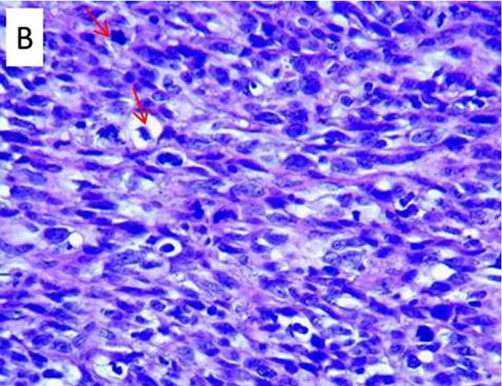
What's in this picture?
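At higher power the tumor cells are elongated to plump, with large irregular, hyperchromatic nuclei of varying size, some with visible nucleoli, and pale pink cytoplasm. Scattered cells show dark condensed chromatin, several surrounded by a clear halo, as marked by the arrows. These are atypical neoplastic spindle cells with irregular nuclei and mitoses.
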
